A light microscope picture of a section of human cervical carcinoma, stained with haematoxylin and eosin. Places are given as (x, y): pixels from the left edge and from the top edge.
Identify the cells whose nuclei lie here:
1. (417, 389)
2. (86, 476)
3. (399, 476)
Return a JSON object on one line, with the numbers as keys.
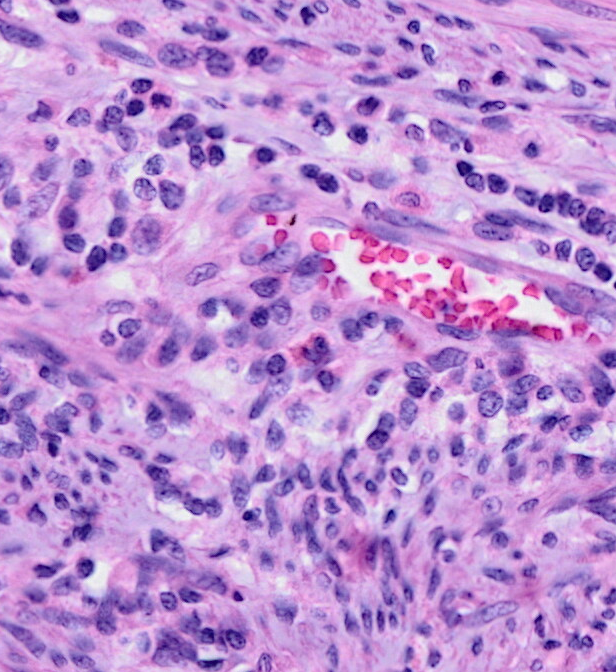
{"1": "lymphocyte", "2": "fibroblast", "3": "lymphocyte"}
